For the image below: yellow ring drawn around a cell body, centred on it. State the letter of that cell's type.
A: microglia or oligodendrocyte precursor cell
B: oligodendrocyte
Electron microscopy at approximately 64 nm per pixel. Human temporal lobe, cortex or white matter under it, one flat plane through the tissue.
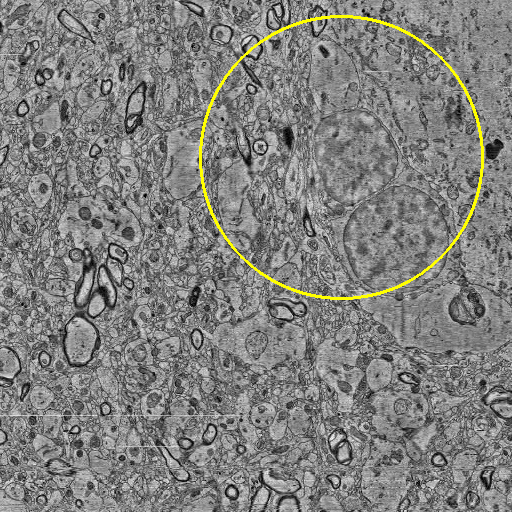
B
